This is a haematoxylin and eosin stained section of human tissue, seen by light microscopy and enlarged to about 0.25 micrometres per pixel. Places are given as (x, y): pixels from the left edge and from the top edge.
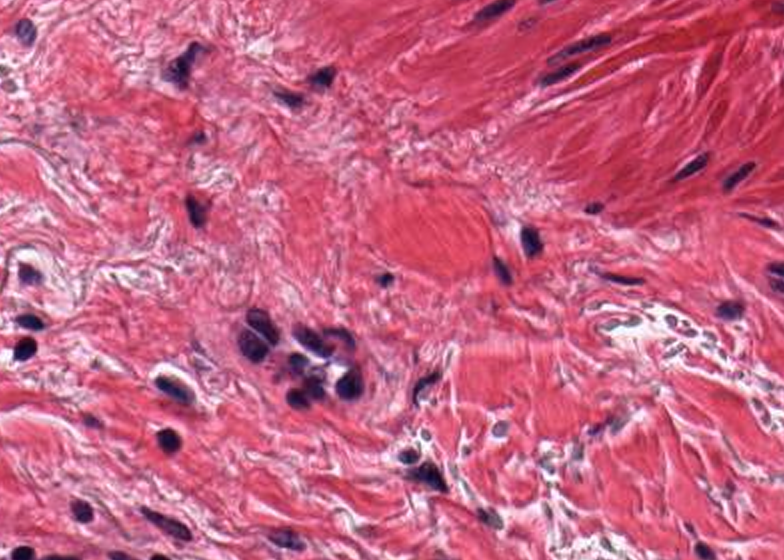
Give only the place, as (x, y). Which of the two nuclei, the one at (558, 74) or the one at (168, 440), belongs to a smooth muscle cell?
(558, 74)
